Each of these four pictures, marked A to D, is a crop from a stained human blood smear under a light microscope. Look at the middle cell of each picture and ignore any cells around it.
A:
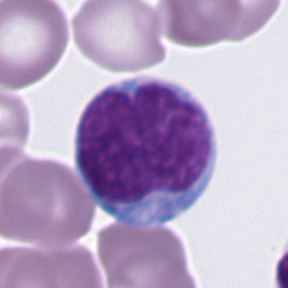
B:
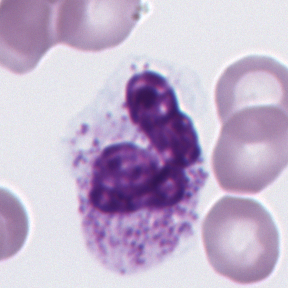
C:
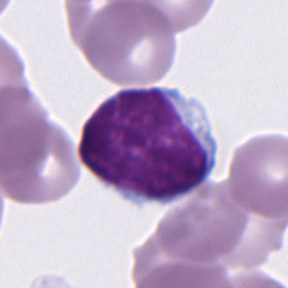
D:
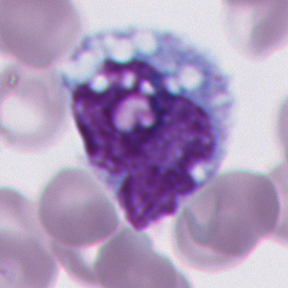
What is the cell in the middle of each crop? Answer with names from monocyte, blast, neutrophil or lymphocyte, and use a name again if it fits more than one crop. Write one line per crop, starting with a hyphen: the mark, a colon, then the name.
- A: blast
- B: neutrophil
- C: lymphocyte
- D: monocyte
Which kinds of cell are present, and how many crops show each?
blast: 1
neutrophil: 1
lymphocyte: 1
monocyte: 1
